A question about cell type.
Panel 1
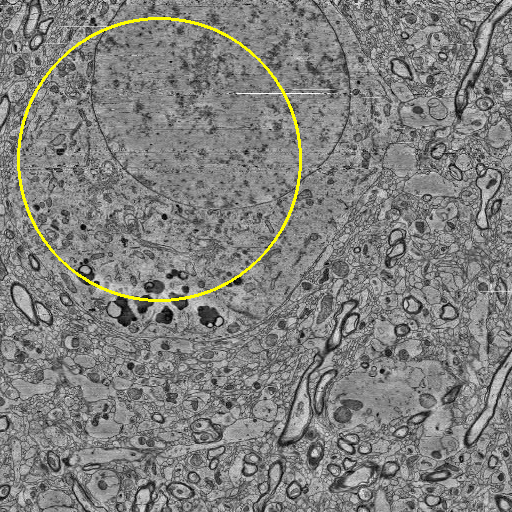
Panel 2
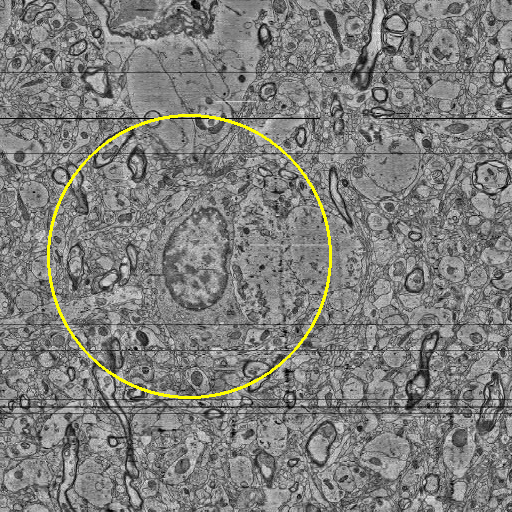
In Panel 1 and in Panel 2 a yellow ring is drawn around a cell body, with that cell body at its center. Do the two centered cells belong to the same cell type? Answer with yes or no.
no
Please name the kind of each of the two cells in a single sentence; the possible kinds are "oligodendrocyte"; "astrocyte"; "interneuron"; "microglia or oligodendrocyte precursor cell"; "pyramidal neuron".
In the first picture the ring is centred on a pyramidal neuron, and in the second on an oligodendrocyte.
